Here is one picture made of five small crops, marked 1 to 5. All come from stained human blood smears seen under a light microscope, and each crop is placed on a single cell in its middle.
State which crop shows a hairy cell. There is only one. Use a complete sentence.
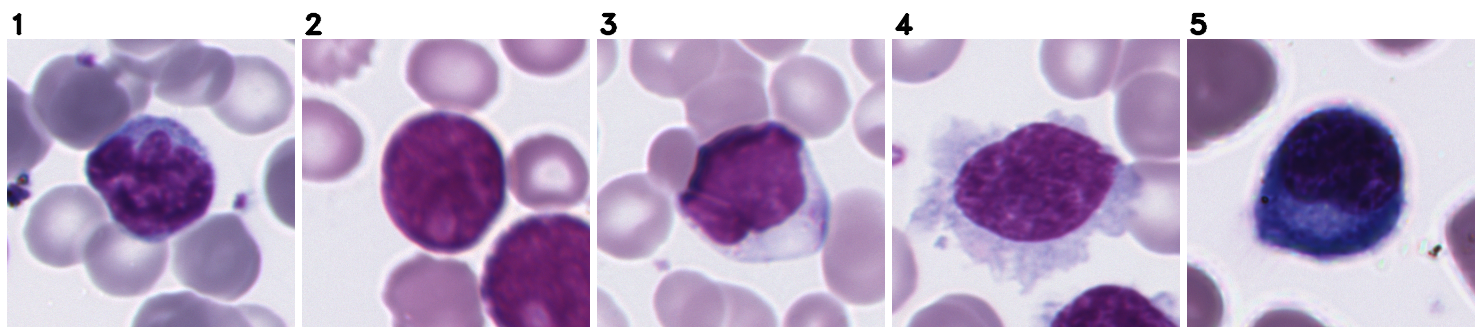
Crop 4 is the right one; it is the crop showing a hairy cell.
